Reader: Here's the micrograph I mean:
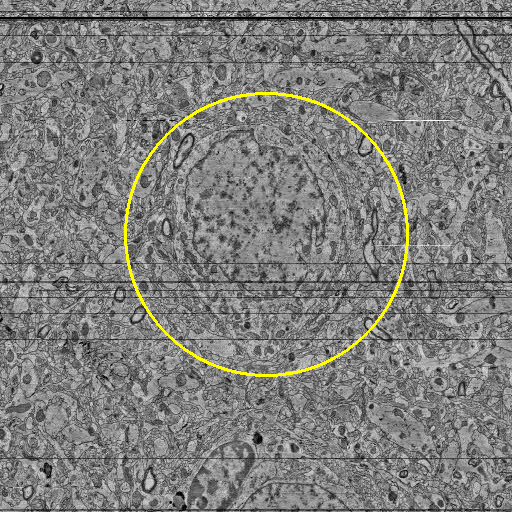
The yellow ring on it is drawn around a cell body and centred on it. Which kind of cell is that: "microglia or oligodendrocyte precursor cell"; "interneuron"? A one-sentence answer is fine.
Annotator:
The ring is centred on an interneuron.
